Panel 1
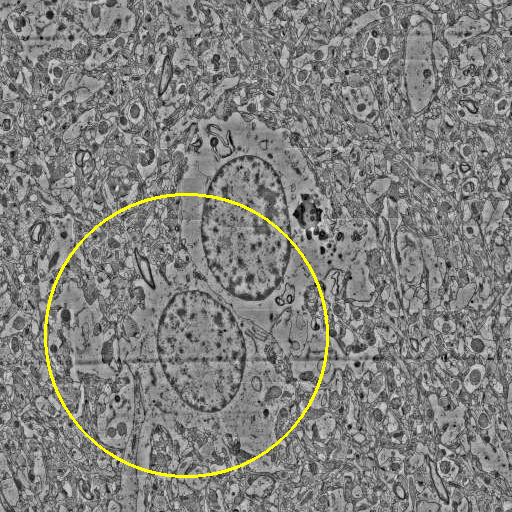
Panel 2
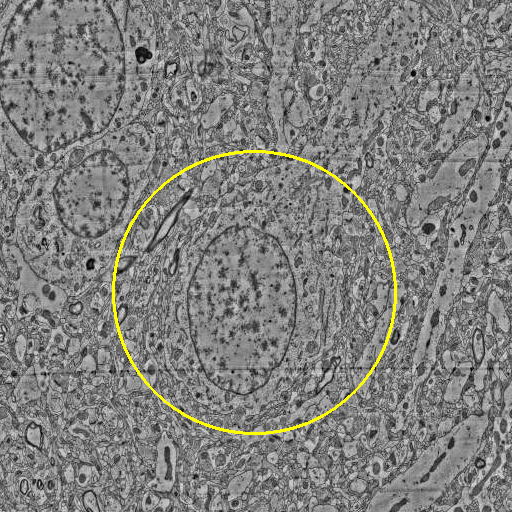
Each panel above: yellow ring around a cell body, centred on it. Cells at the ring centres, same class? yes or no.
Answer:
no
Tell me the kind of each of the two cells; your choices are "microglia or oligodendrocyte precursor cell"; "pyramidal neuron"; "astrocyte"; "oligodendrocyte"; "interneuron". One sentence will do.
The ringed cell is an astrocyte in the first picture and a pyramidal neuron in the second picture.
